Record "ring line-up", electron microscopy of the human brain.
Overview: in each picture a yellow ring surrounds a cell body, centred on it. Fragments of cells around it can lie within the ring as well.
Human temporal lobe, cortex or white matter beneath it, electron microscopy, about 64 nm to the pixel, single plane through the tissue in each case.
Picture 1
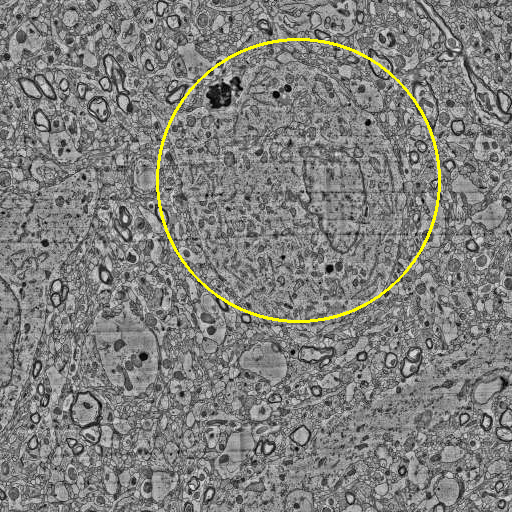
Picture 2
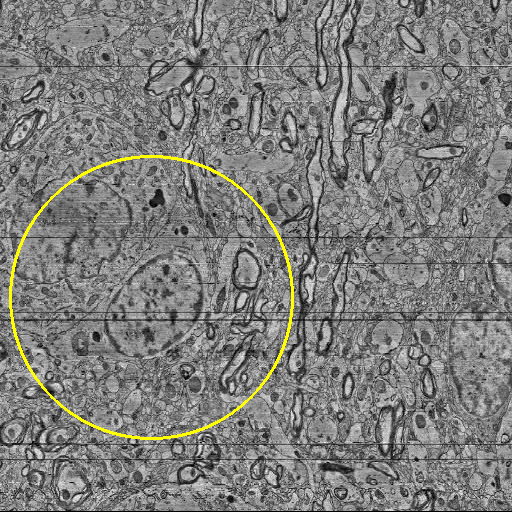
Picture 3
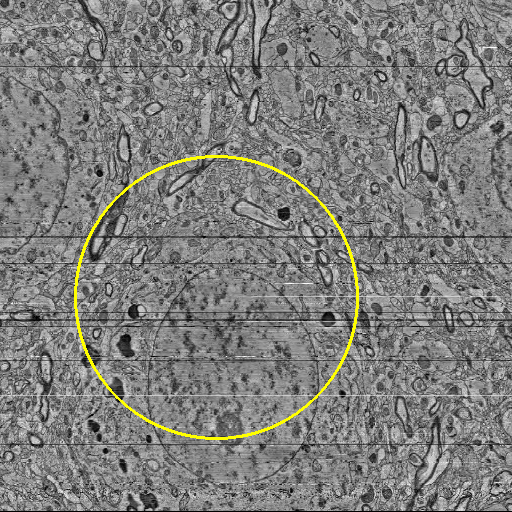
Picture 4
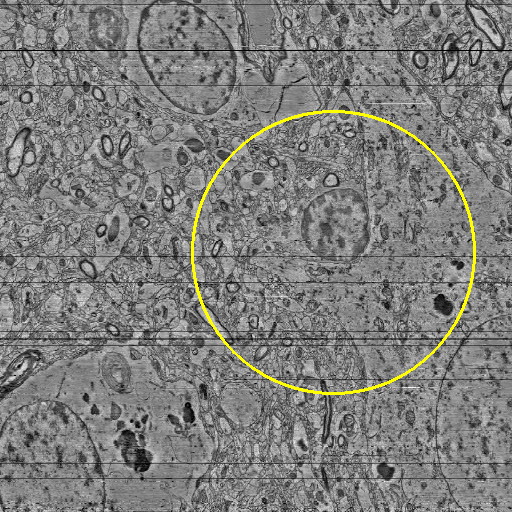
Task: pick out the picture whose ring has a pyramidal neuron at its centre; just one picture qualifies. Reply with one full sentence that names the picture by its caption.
Going by the cell at the ring's centre, the right choice is Picture 3.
